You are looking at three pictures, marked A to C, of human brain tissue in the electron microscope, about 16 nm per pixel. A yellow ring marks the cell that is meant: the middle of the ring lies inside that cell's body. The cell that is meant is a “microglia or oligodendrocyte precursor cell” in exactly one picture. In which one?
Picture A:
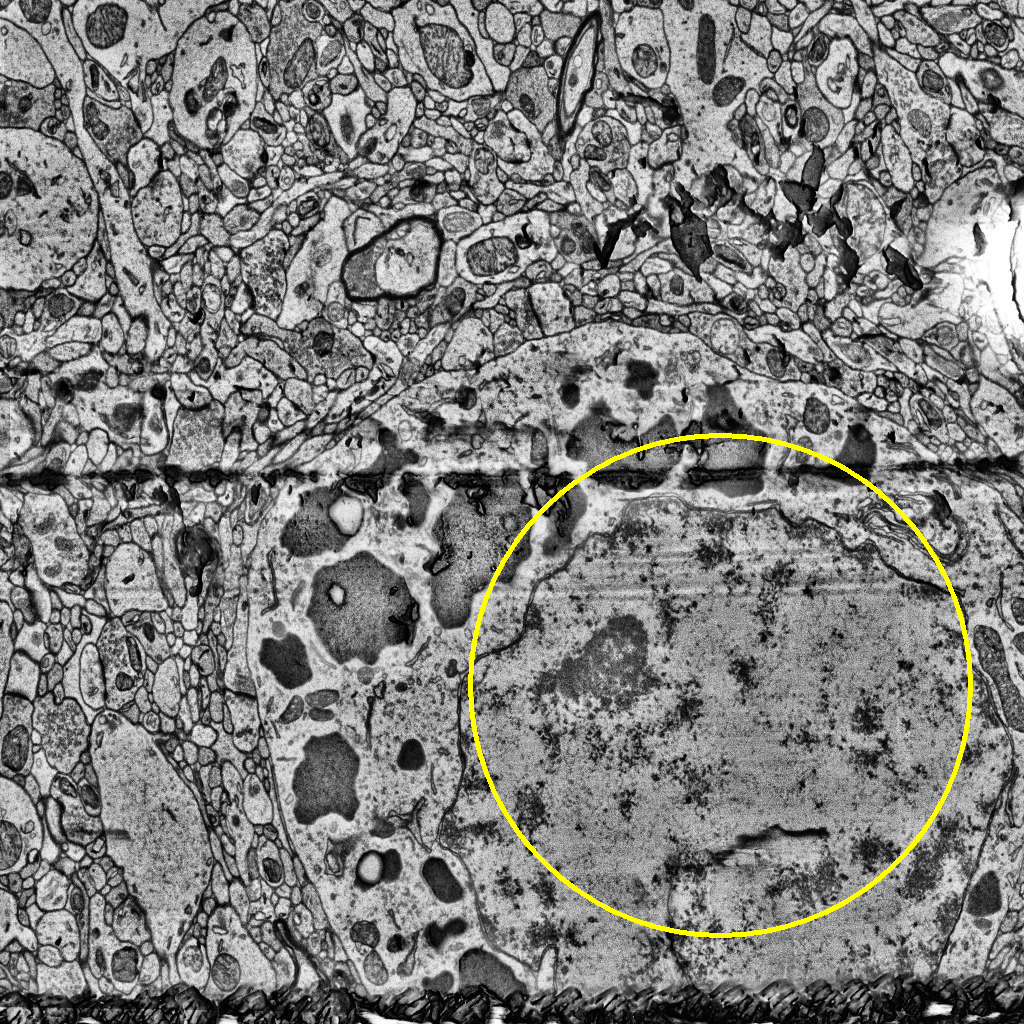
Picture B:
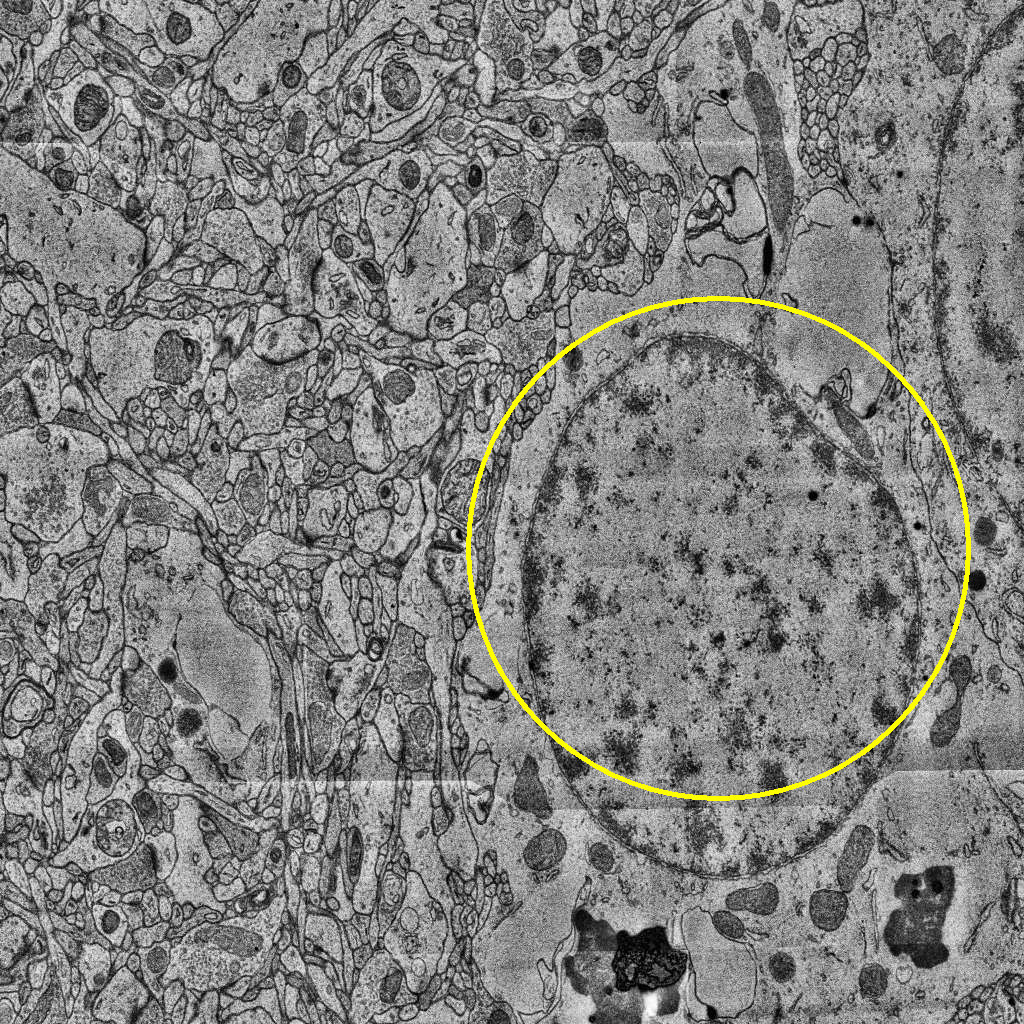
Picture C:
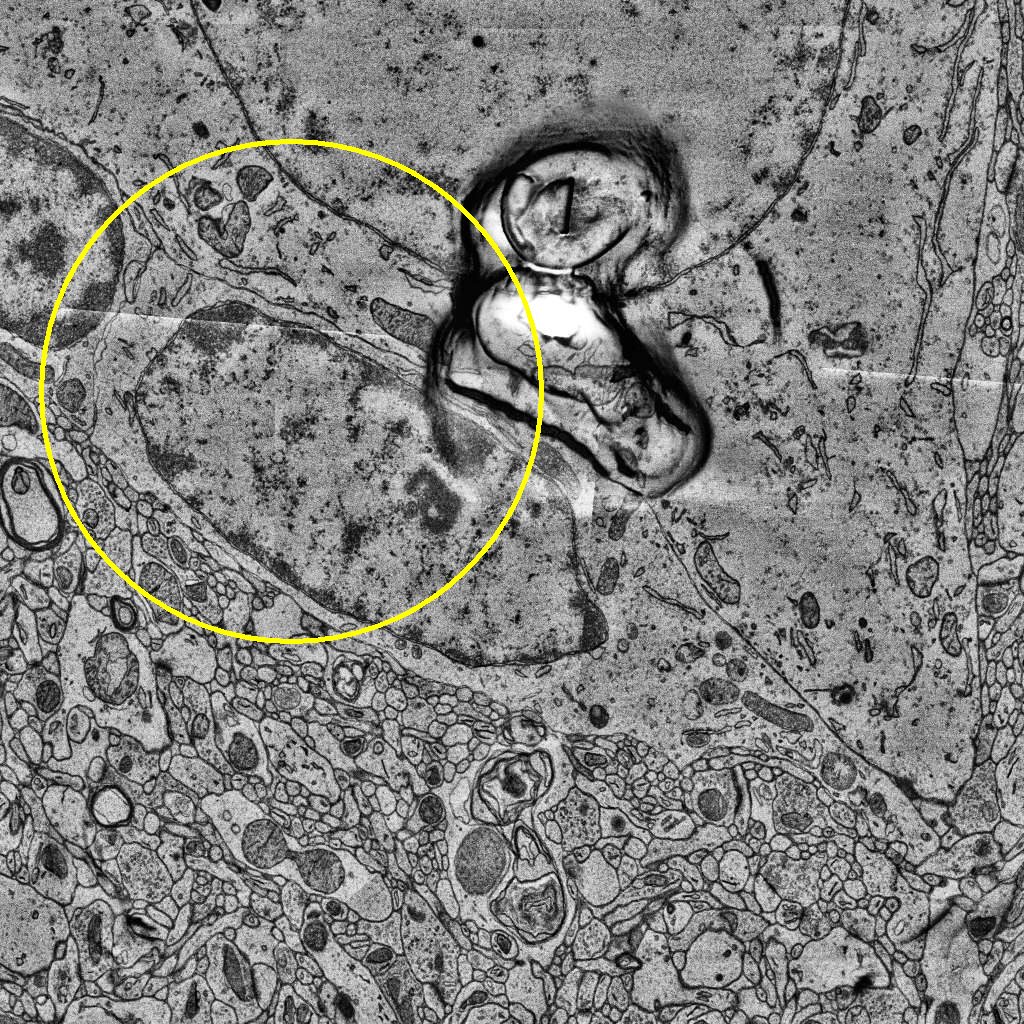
The “microglia or oligodendrocyte precursor cell” is the one in picture C.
